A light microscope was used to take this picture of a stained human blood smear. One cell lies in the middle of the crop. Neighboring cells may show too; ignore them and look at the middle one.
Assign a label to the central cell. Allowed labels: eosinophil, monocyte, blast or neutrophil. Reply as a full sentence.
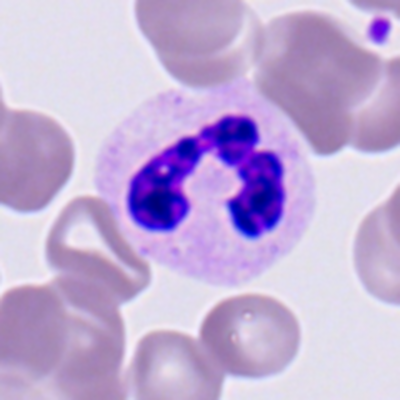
In the central position of this crop, the cell is a neutrophil.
